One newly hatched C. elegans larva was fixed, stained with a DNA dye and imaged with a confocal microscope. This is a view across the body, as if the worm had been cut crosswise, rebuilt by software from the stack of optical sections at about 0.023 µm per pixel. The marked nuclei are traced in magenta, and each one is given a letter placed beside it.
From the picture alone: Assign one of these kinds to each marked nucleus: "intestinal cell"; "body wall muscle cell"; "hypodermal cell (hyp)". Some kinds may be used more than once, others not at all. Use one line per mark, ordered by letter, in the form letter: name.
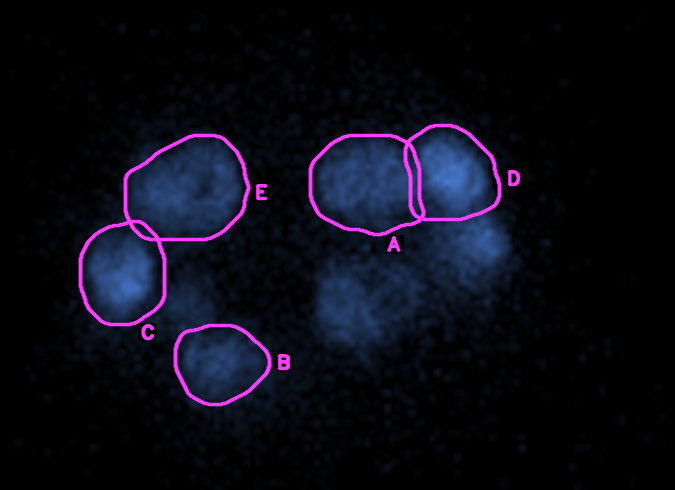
A: intestinal cell
B: hypodermal cell (hyp)
C: body wall muscle cell
D: body wall muscle cell
E: intestinal cell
